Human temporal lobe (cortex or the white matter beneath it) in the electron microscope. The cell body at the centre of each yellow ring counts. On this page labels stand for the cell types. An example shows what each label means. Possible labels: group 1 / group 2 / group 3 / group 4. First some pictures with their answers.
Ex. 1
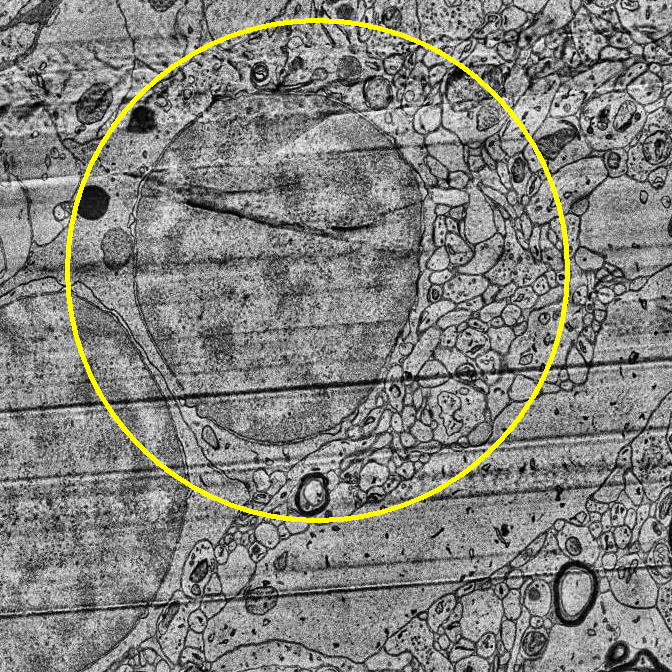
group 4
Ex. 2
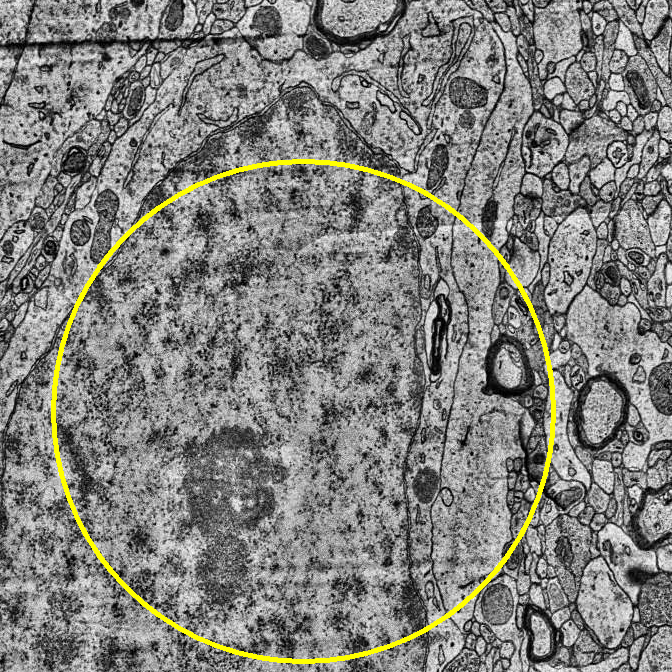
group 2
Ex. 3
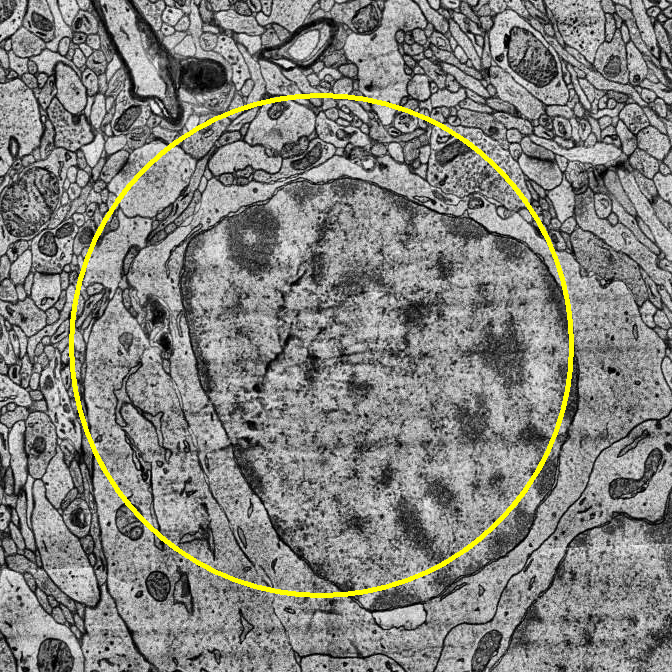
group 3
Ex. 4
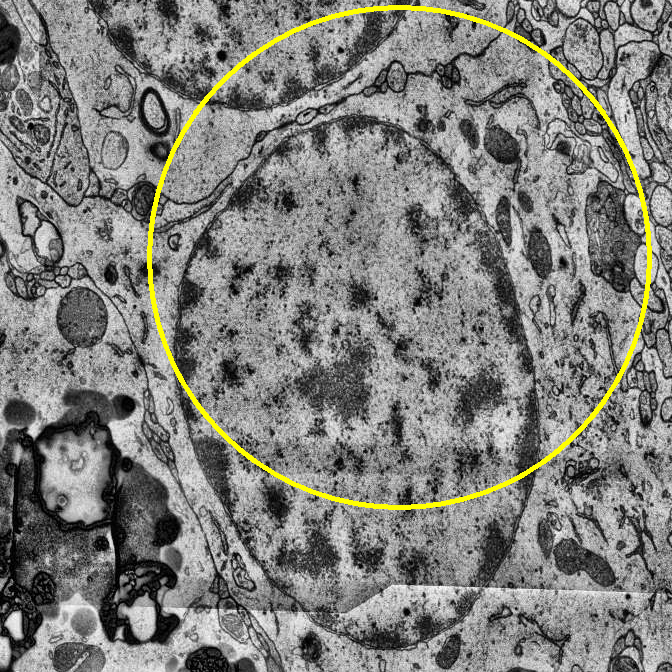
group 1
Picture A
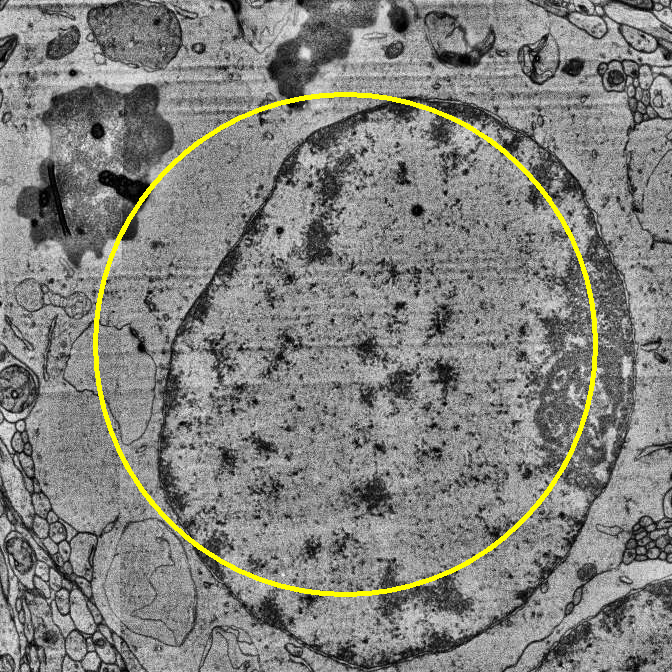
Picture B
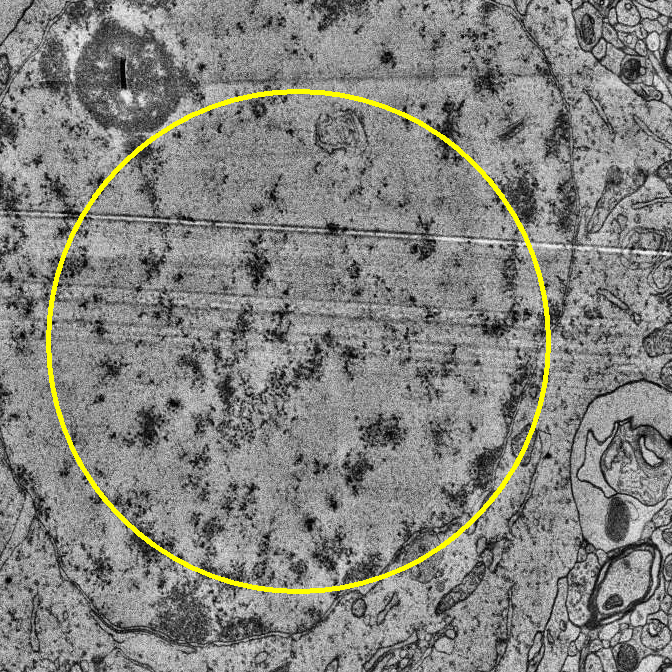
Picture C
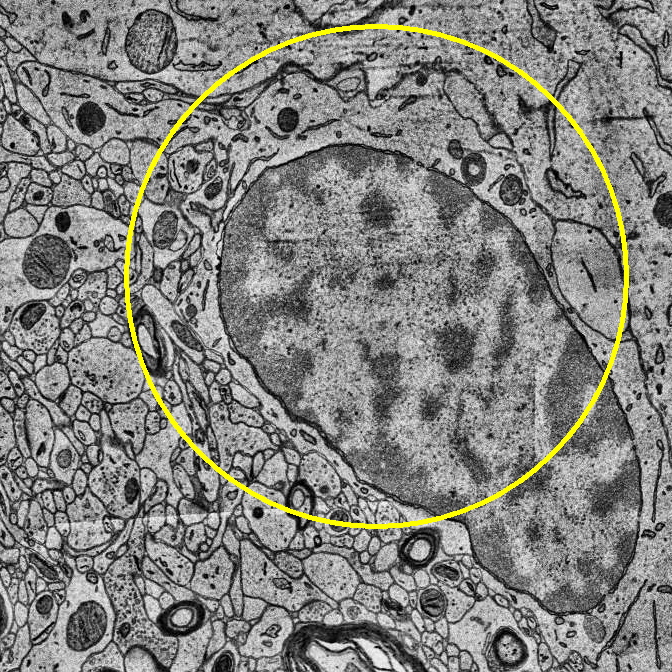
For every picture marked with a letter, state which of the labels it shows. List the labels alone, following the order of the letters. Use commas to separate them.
group 1, group 2, group 3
